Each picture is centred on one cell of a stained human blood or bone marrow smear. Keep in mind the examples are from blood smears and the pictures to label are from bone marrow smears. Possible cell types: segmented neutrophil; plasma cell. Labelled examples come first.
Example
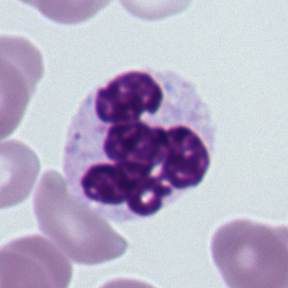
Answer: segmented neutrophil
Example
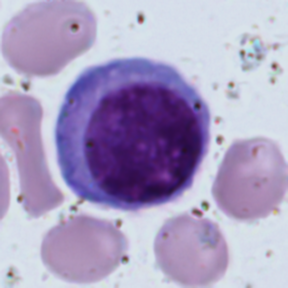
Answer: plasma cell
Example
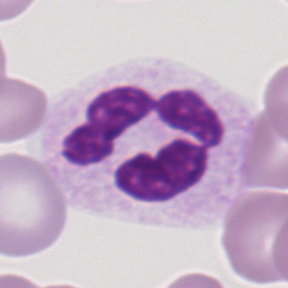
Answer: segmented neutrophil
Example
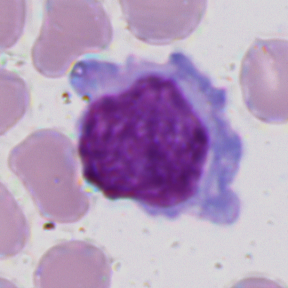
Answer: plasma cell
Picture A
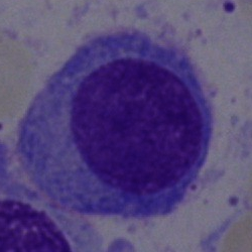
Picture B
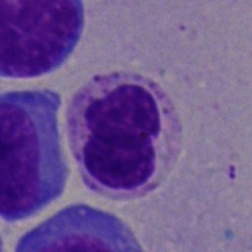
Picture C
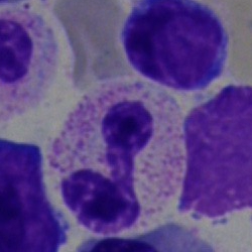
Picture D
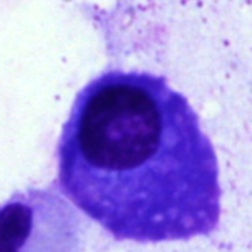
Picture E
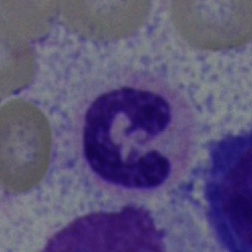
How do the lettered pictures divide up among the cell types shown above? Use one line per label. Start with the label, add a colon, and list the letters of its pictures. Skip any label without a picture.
segmented neutrophil: B, C, E
plasma cell: A, D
